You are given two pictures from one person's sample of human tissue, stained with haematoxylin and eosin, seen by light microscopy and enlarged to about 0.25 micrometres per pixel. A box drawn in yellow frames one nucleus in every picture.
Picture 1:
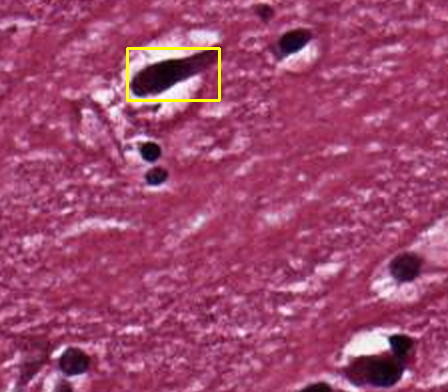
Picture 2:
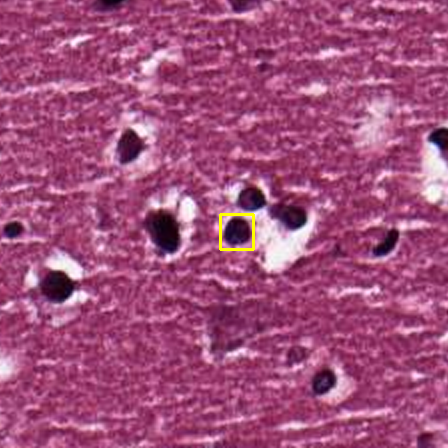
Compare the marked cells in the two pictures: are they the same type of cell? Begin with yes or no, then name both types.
No, the first is a neuron and the second an oligodendrocyte.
